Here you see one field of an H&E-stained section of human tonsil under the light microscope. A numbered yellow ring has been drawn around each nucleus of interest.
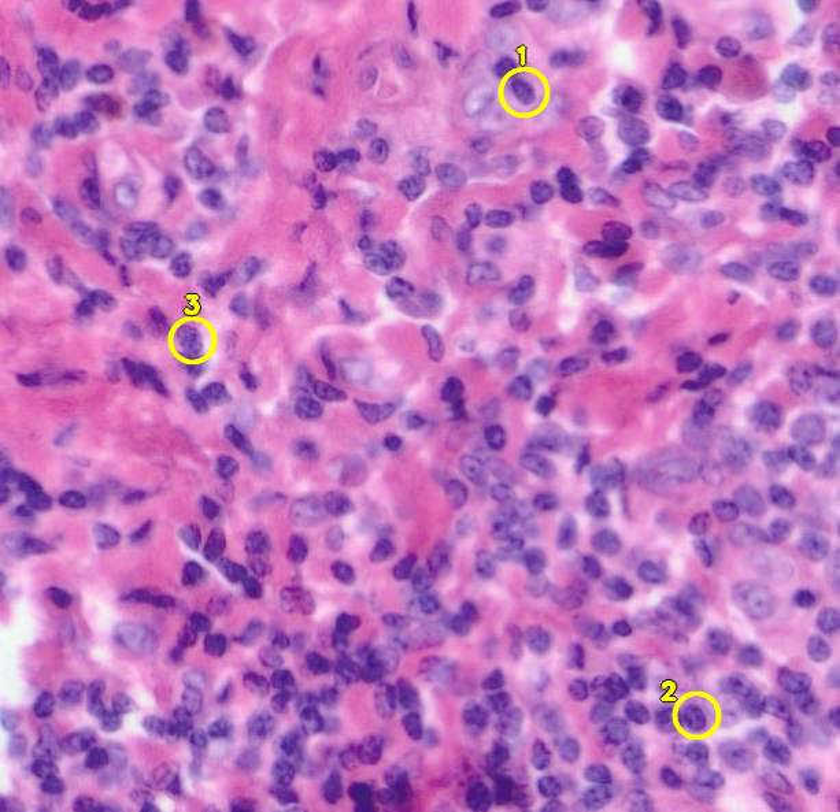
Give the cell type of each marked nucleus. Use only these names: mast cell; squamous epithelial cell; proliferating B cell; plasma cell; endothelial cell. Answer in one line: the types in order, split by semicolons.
endothelial cell; plasma cell; mast cell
